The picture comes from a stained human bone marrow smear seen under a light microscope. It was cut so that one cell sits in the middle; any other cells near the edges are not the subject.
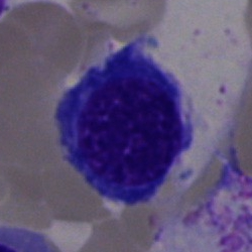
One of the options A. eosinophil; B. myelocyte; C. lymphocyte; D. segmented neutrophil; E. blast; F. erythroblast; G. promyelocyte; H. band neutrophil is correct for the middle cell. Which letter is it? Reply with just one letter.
F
